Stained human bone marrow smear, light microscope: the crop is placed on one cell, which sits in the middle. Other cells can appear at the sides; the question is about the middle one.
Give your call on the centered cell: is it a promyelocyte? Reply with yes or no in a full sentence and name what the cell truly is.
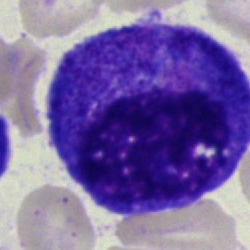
Yes, the centered cell in this field is a promyelocyte.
